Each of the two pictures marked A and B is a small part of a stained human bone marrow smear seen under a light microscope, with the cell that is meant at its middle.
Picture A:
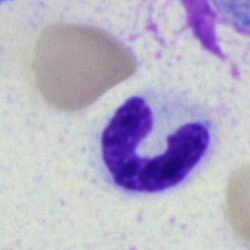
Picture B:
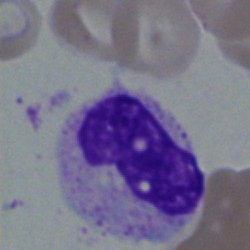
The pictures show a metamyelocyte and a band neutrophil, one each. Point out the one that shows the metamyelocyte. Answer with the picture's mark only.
B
